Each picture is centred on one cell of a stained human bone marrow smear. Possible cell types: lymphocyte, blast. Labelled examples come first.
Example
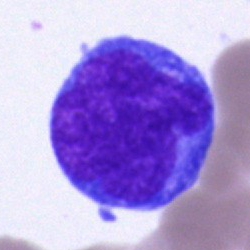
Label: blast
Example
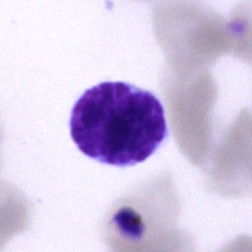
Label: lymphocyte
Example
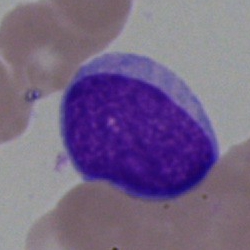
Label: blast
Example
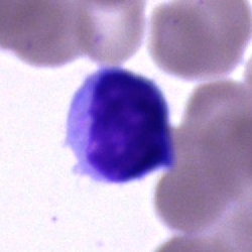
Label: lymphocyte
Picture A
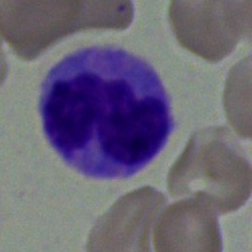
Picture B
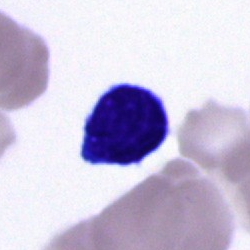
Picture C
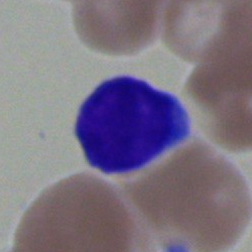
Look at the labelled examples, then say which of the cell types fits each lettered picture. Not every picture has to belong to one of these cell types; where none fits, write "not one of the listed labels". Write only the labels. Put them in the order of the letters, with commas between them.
not one of the listed labels, lymphocyte, lymphocyte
